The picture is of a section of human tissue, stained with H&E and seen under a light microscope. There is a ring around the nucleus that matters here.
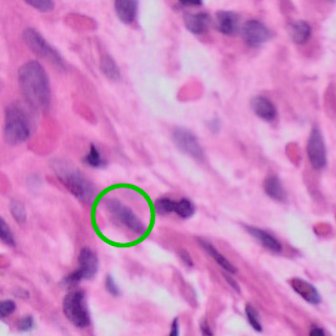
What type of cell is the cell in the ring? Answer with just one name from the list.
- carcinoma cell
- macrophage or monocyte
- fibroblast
fibroblast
